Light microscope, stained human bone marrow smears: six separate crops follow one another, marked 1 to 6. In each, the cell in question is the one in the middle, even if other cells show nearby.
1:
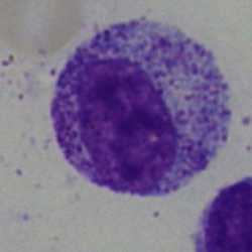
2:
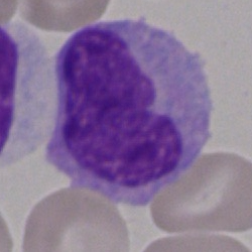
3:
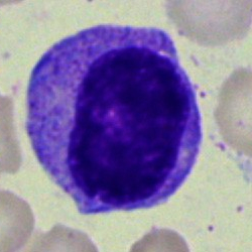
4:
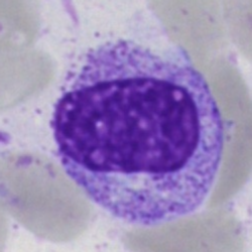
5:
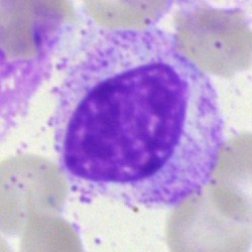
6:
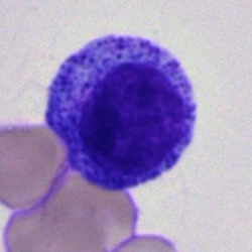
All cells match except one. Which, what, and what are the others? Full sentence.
Crop 2 breaks the pattern with a monocyte; all the others show myelocytes.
